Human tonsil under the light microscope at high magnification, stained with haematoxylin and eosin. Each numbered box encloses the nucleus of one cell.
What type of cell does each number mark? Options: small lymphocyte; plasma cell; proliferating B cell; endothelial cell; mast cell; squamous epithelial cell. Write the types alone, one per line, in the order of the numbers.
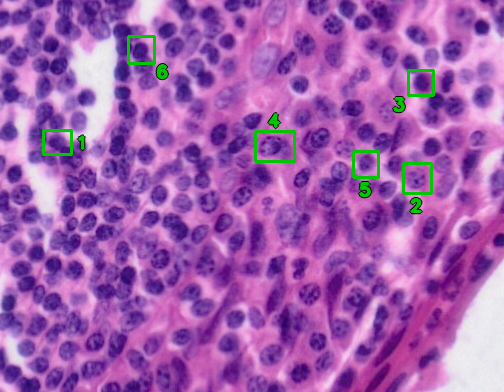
small lymphocyte
plasma cell
plasma cell
plasma cell
plasma cell
small lymphocyte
